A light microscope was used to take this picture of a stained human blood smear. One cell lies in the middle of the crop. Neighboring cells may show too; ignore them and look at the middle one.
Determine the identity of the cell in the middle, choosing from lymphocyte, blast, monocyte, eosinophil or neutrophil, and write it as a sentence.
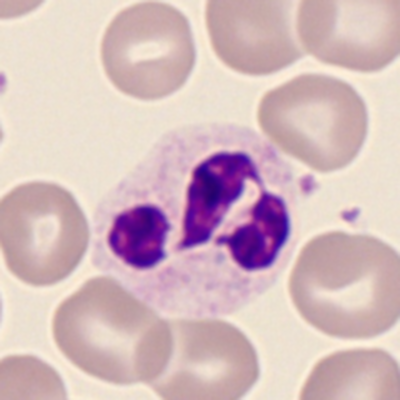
On this slide crop, the central cell is a neutrophil.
